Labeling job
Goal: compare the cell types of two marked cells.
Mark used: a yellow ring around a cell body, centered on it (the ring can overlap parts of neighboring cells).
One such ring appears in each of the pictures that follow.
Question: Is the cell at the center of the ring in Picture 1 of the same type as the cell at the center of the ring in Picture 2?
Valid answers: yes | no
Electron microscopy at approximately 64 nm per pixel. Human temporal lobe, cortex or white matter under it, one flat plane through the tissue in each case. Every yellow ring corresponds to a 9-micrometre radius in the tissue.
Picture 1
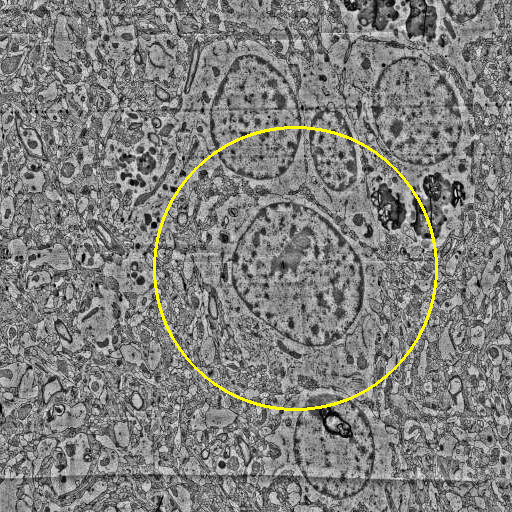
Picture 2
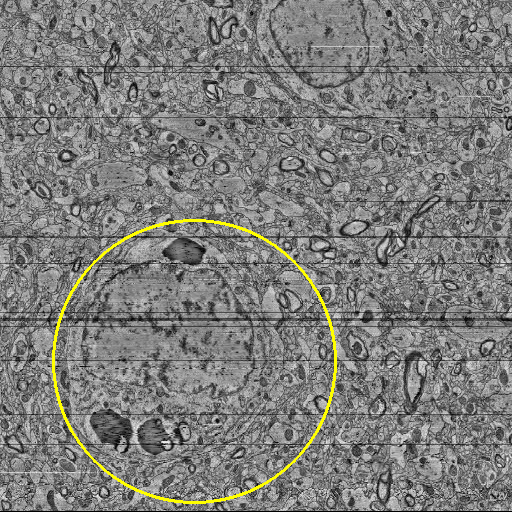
no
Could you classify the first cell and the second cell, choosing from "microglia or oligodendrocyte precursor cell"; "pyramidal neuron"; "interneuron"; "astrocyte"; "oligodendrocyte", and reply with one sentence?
The second cell is an interneuron, while the first is an astrocyte.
